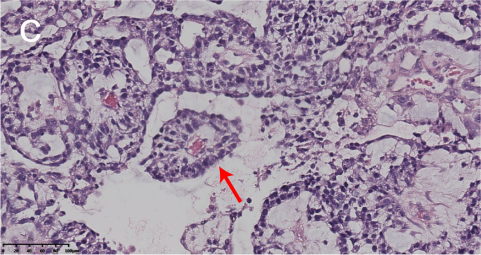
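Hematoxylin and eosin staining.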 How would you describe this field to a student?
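This is malignant tumor tissue in which tumor cells are arranged around blood vessels and spaces, forming glomerulus-like Schiller-Duval bodies. A small central vessel containing pink-red blood cells is wrapped by a cuff of crowded tumor cells, and this cuffed vessel sits within a clear space that is itself lined by tumor cells. The tumor cells have dark purple, rather large nuclei that are closely packed, with scant pale cytoplasm. Around these structures the tissue forms a loose, lace-like network of thin strands and cords of cells separated by empty-looking spaces.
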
